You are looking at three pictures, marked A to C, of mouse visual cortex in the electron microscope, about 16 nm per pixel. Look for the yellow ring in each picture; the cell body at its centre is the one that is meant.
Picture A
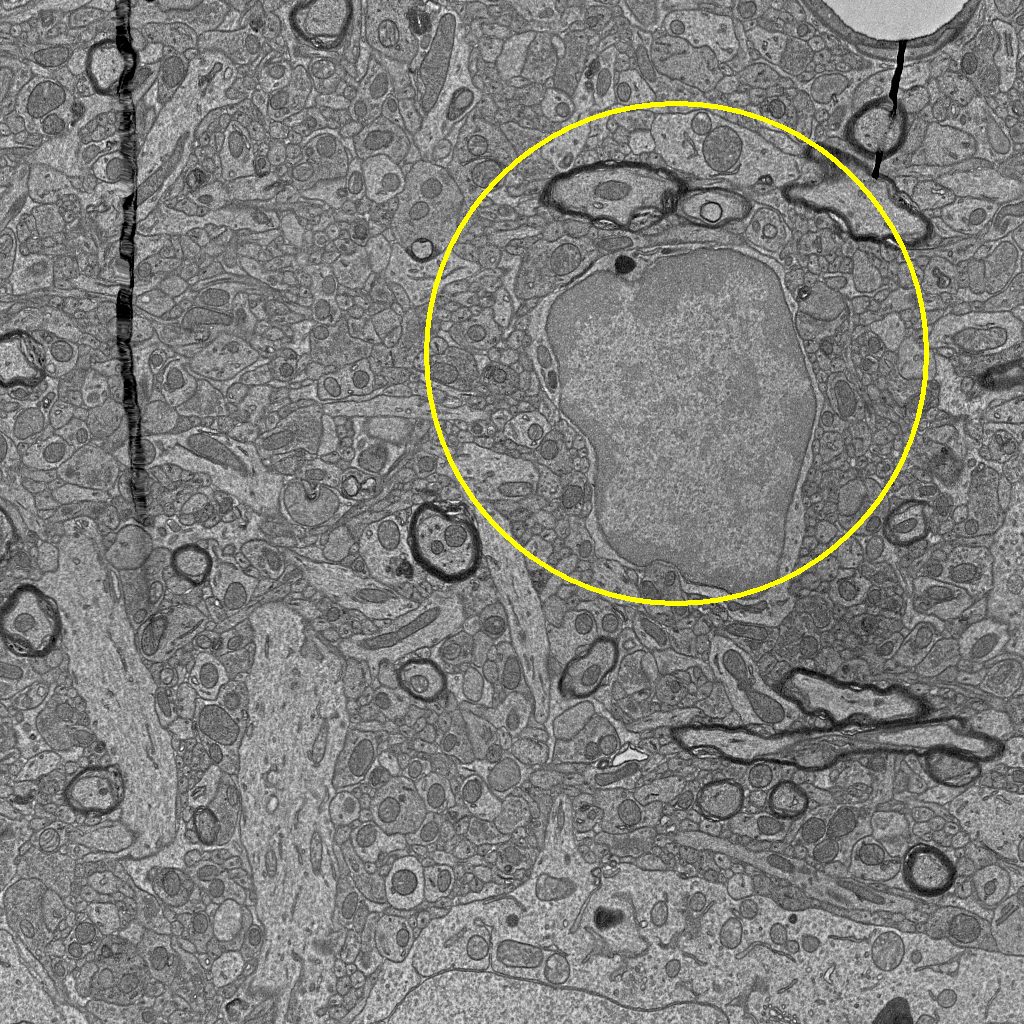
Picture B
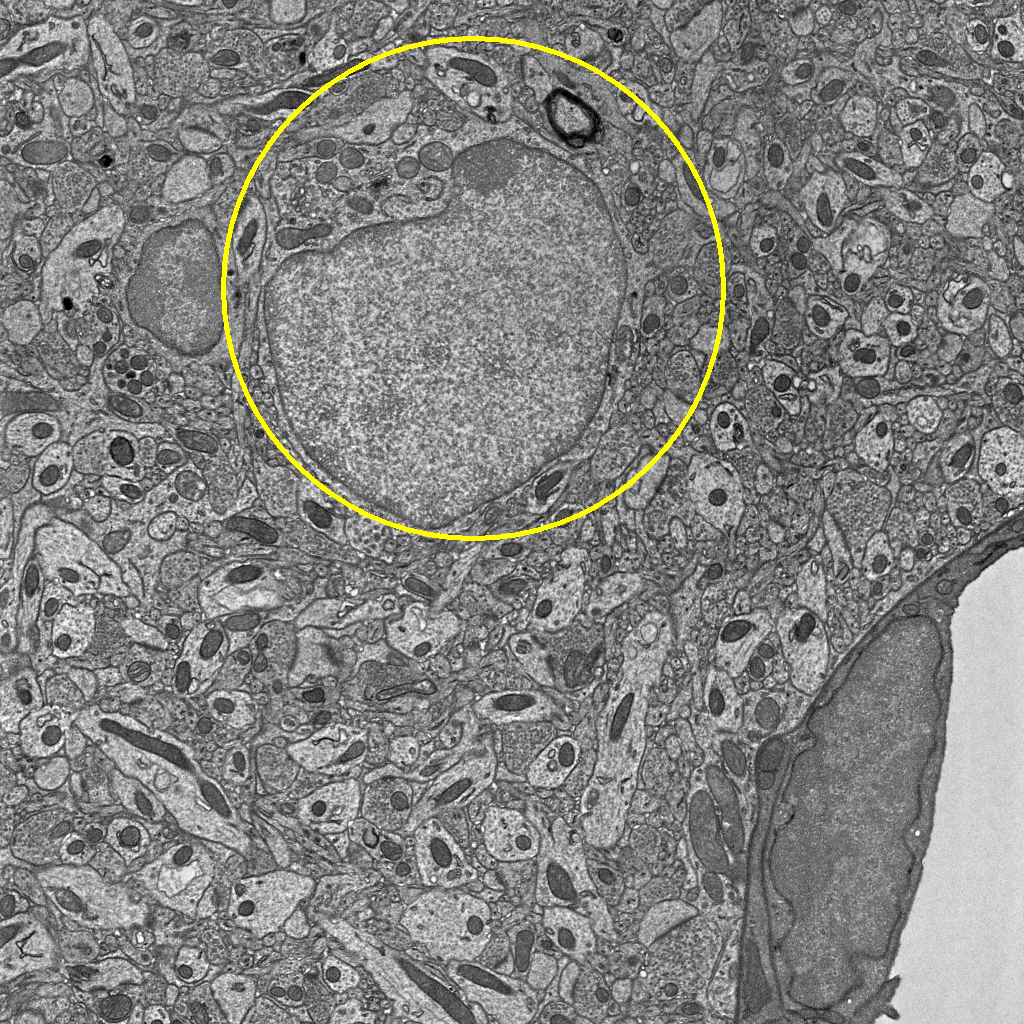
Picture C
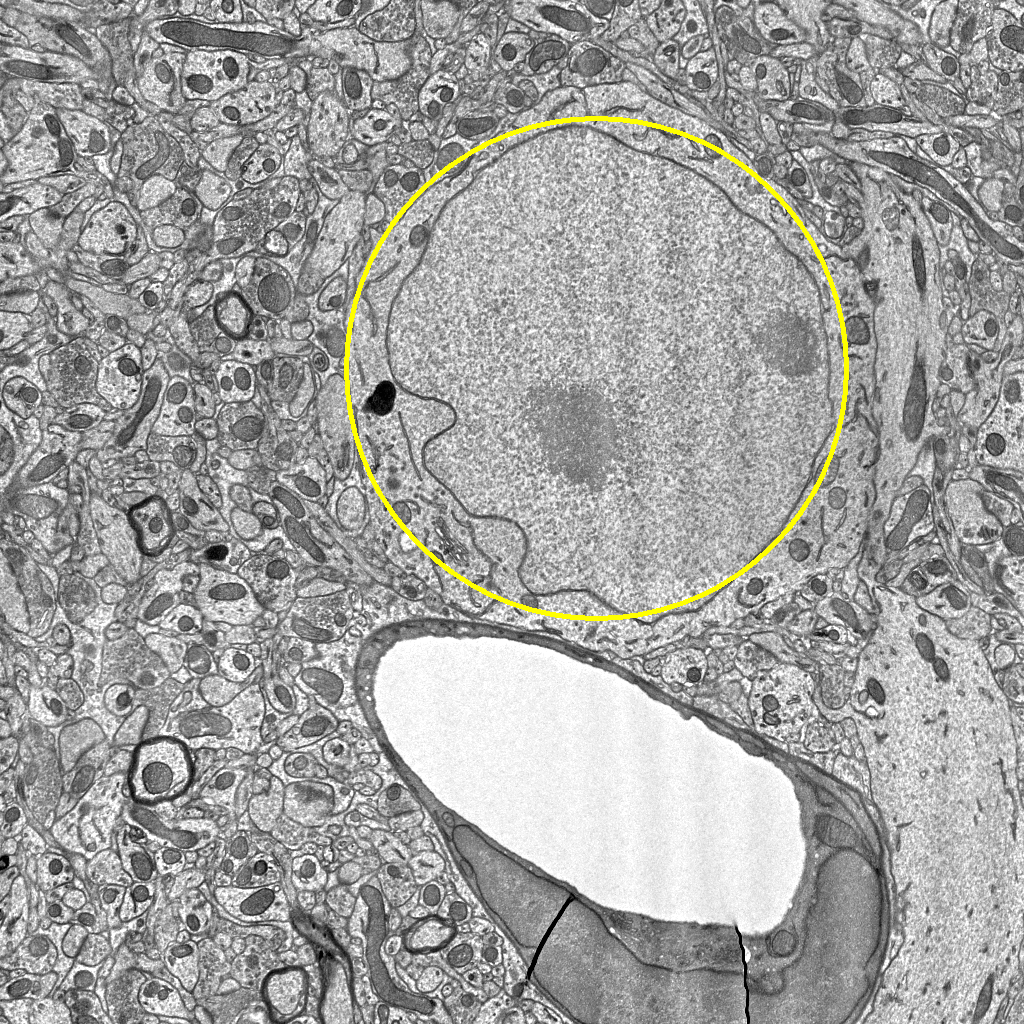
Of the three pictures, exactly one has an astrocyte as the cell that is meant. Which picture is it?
The astrocyte is the one in picture B.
